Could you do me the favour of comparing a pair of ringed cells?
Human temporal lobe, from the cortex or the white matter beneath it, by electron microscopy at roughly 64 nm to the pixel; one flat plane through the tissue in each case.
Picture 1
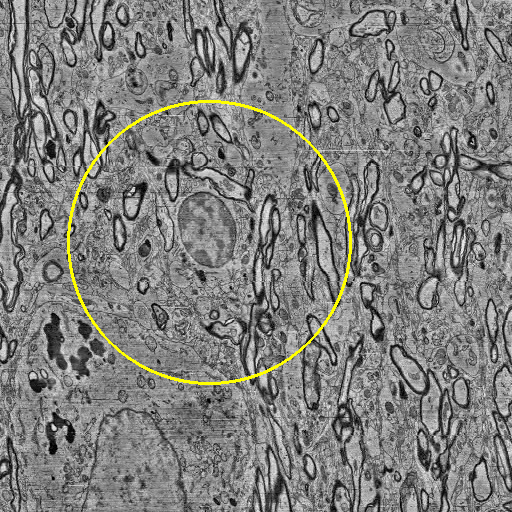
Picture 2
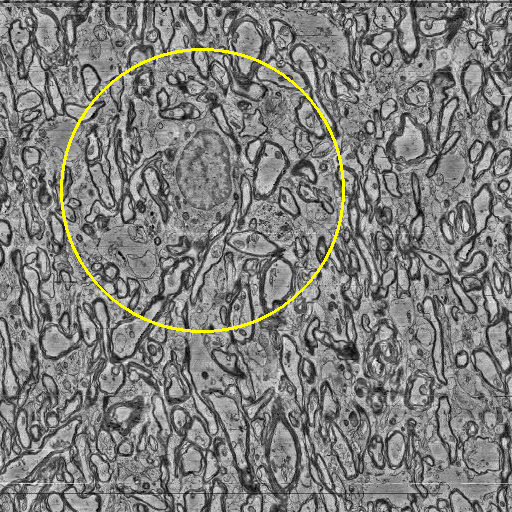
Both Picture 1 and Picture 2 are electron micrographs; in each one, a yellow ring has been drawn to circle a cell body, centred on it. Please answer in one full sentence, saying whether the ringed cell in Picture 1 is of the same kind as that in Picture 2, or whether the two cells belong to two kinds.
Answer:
The ringed cells in Picture 1 and Picture 2 belong to two kinds.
